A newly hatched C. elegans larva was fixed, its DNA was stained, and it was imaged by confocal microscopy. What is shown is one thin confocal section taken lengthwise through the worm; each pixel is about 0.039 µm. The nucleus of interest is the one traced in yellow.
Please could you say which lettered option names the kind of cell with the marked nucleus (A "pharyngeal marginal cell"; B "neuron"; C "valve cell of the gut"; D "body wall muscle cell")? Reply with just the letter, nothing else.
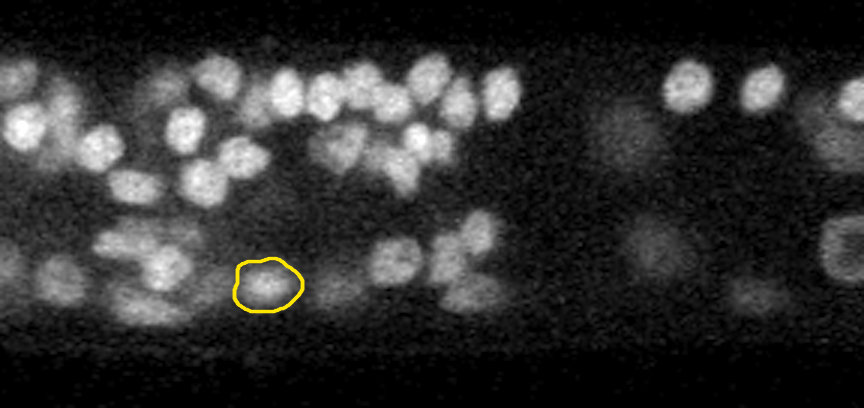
D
